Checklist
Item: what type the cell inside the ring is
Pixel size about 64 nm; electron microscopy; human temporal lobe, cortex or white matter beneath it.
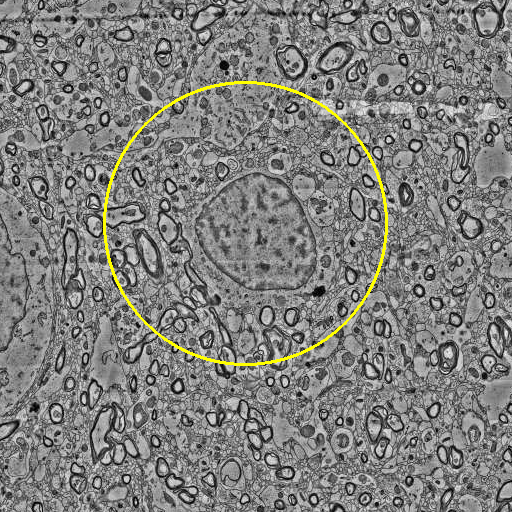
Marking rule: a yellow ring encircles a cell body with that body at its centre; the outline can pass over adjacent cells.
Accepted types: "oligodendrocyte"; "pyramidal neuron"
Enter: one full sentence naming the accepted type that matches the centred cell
The entry is that an oligodendrocyte lies at the centre of the yellow ring.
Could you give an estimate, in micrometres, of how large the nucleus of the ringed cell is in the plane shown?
In this plane, roughly 8 micrometres across.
